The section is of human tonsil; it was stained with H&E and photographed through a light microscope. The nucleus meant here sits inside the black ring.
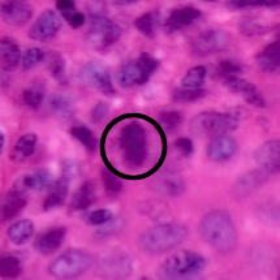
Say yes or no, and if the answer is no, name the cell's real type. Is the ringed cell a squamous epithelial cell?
Yes.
